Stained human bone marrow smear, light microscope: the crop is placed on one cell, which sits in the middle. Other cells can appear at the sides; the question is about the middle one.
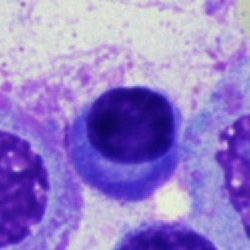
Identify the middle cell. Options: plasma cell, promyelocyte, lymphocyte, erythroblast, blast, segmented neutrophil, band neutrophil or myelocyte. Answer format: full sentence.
The identification for the central cell is a plasma cell.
